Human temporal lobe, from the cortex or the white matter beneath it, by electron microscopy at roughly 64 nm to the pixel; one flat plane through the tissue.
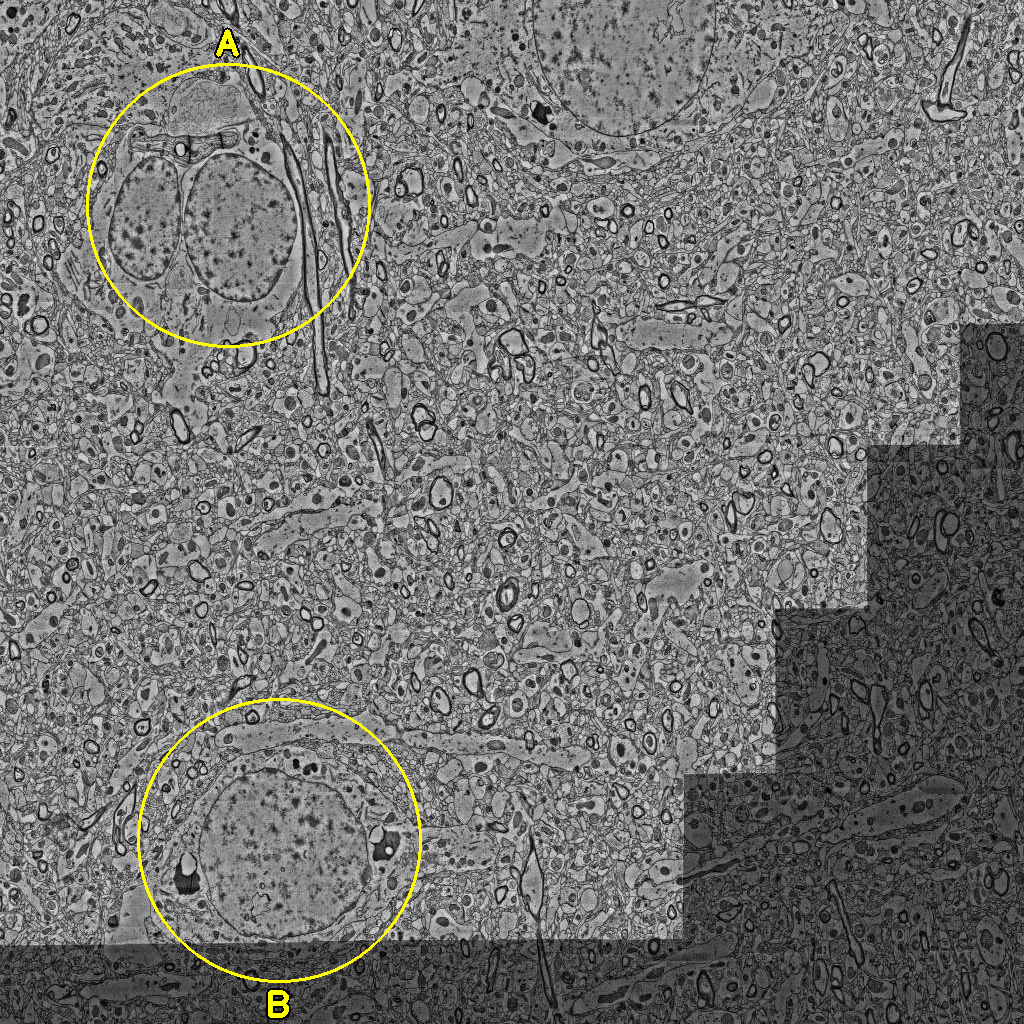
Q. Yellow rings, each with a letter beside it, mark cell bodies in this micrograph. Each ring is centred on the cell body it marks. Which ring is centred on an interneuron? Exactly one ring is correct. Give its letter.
B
